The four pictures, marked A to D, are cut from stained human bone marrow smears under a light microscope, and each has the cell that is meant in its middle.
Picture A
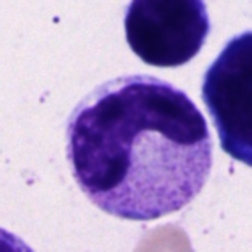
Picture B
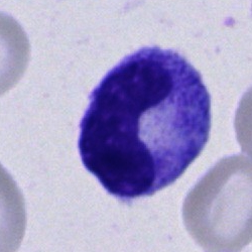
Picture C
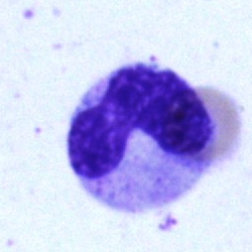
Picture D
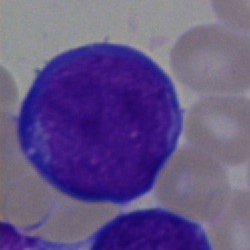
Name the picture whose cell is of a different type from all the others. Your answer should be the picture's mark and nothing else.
D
